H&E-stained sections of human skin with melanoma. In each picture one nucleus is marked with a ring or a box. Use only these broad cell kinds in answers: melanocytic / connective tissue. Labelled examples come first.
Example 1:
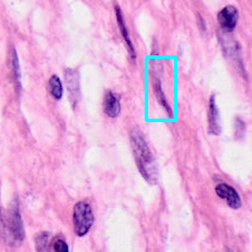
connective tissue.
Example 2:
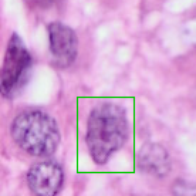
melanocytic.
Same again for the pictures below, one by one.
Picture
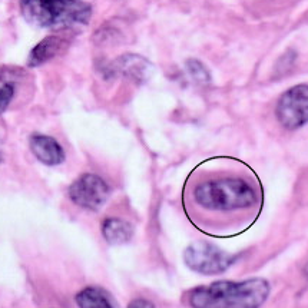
melanocytic.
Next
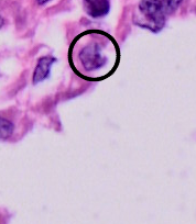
melanocytic.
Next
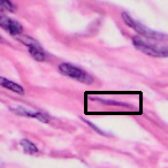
connective tissue.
